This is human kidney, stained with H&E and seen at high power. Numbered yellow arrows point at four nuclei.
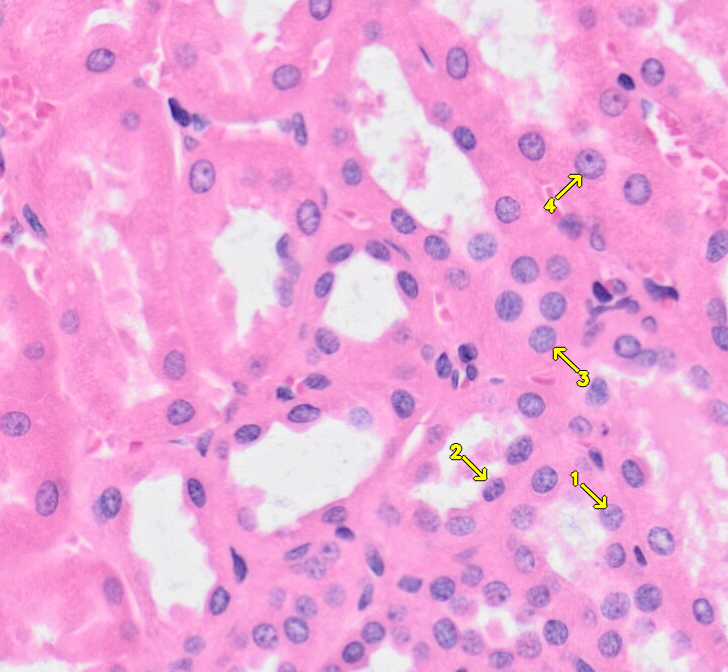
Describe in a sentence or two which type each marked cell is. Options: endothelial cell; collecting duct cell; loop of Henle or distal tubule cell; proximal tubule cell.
Cells 1, 2 and 3 are loop of Henle or distal tubule cells. Cell 4 is a proximal tubule cell.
